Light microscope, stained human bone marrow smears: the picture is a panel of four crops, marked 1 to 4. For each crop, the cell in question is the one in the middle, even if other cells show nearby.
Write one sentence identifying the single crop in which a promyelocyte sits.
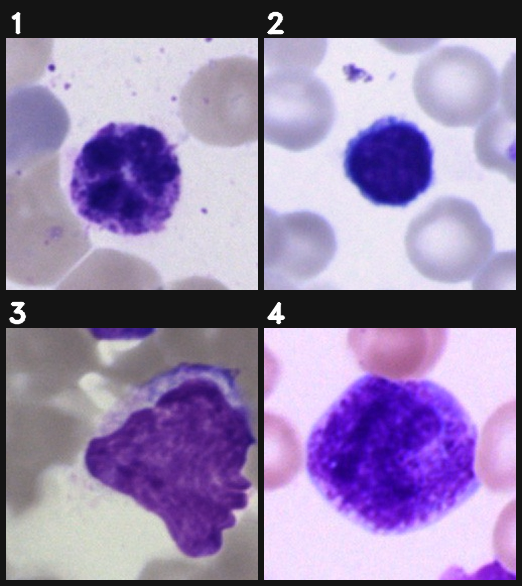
Crop 4 is where a promyelocyte is shown.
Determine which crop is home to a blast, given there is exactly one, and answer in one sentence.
The one showing a blast is crop 3.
